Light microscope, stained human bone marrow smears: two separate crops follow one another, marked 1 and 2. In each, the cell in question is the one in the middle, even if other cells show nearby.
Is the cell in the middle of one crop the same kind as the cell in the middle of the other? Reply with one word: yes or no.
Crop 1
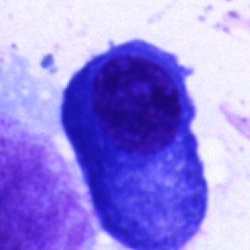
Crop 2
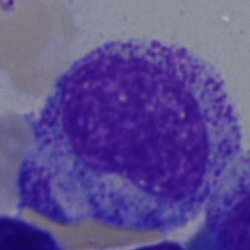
no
